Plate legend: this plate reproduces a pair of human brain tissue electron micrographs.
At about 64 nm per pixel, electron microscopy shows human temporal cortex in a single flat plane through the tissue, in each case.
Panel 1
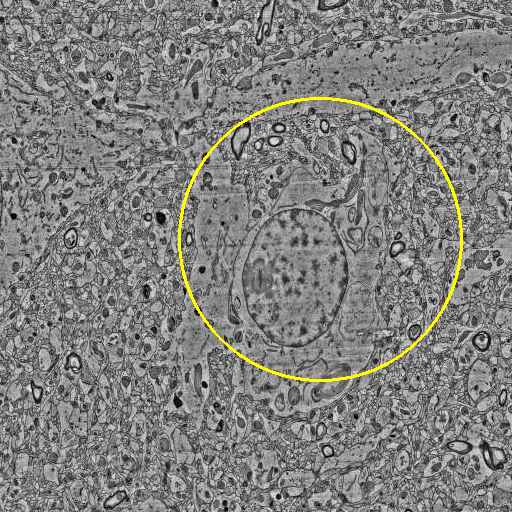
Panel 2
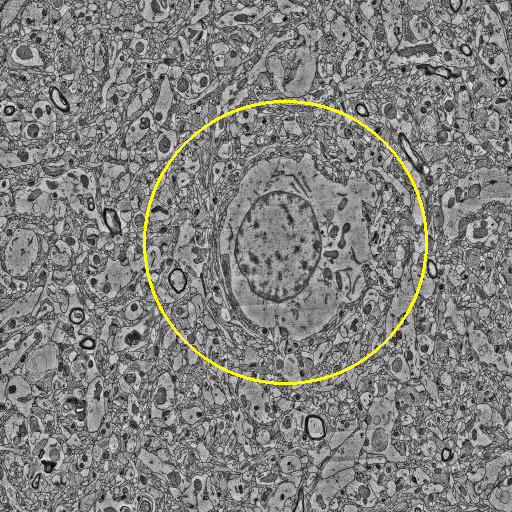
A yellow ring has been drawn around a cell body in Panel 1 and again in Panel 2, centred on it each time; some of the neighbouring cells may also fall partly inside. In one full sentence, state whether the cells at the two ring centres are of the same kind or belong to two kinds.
The ring-centred cells of Panel 1 and Panel 2 are of the same kind.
